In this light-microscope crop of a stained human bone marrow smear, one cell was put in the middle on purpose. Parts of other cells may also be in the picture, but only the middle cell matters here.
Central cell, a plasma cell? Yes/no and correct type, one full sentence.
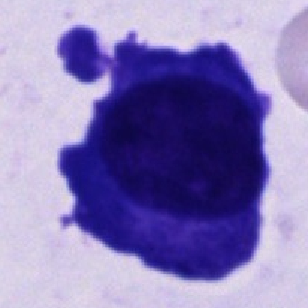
Yes, the cell occupying the middle of the crop is a plasma cell.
